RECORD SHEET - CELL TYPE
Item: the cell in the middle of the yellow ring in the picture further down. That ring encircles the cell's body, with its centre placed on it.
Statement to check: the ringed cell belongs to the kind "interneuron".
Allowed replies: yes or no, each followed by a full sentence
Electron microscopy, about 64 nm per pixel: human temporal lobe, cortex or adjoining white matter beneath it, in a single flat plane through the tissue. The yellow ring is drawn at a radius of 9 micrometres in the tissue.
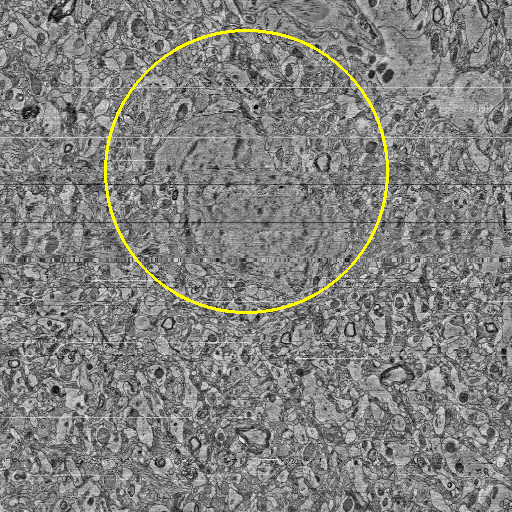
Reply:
Yes, the cell held at the centre of the ring in the picture is of that kind.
